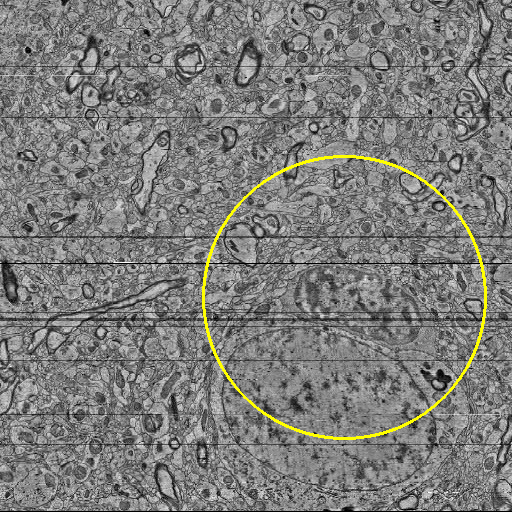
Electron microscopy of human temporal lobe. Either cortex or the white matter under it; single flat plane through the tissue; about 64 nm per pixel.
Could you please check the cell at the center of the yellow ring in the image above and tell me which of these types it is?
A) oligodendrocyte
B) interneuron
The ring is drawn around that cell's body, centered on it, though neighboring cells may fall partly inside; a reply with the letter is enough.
A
